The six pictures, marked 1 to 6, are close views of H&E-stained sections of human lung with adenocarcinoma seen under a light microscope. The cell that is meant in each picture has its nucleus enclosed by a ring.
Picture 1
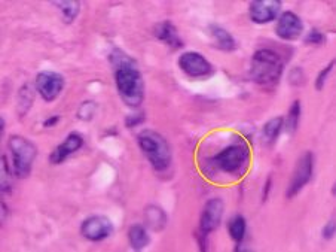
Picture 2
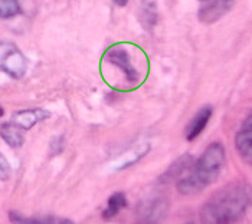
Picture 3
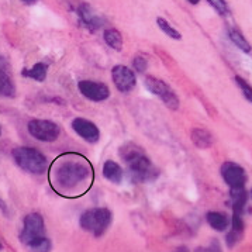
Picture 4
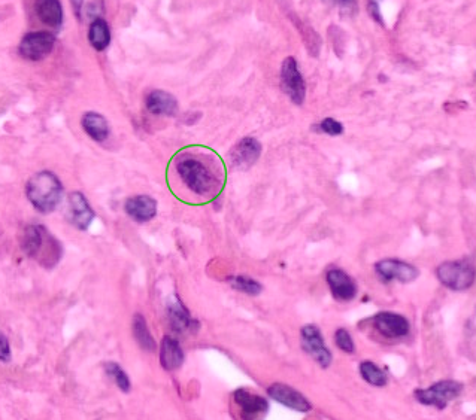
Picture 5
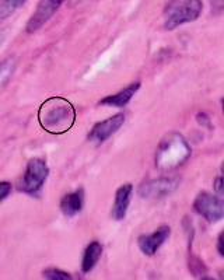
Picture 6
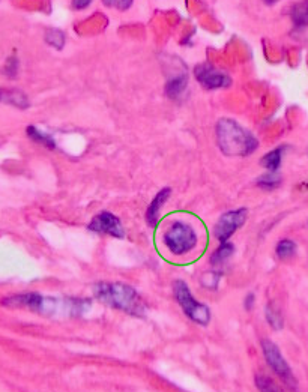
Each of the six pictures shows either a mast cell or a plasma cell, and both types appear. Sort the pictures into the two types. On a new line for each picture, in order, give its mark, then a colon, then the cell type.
1: plasma cell
2: plasma cell
3: plasma cell
4: plasma cell
5: mast cell
6: mast cell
